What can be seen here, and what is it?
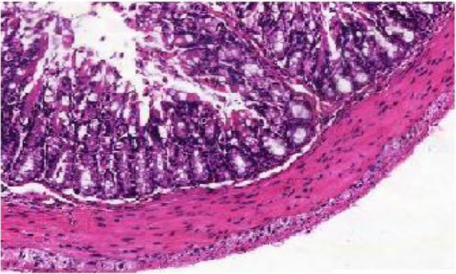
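A band of colonic mucosa is packed with regular, closely set crypts whose epithelium shows purple nuclei at the base and many pale, rounded goblet cells. Beneath a thin layer of loose tissue runs a continuous, smooth pink band of muscle with elongated nuclei. This is normal colonic mucosa with intact crypt architecture and no evident inflammatory infiltrate.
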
